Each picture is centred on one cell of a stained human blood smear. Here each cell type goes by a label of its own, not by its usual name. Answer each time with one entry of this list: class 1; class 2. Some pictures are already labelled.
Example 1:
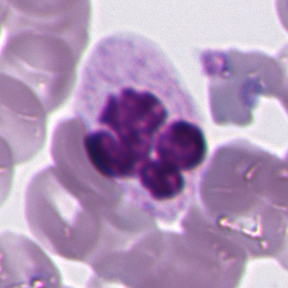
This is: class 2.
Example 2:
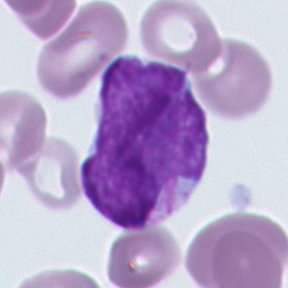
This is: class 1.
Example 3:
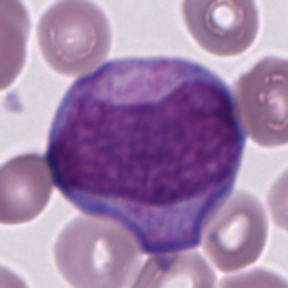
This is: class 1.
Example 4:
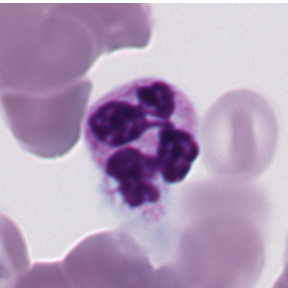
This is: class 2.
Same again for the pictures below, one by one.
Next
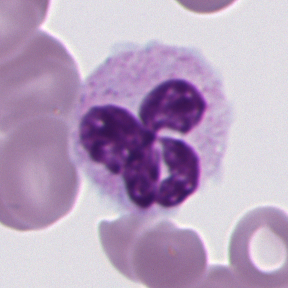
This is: class 2.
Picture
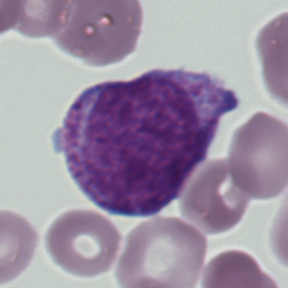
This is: class 1.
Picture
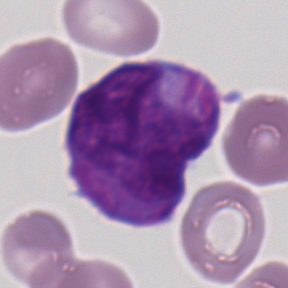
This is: class 1.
